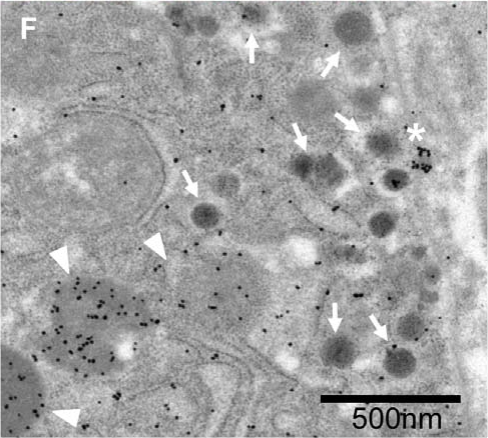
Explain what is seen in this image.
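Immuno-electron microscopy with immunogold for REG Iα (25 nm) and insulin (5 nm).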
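At the lower left lie large round vesicles with moderately dense granular content bearing many large black gold particles. The upper right holds many smaller round granules with dense cores, some with pale halos, and a clump of gold particles sits beside a cell border there. A large rounded membrane-bound profile occupies the upper centre-left.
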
